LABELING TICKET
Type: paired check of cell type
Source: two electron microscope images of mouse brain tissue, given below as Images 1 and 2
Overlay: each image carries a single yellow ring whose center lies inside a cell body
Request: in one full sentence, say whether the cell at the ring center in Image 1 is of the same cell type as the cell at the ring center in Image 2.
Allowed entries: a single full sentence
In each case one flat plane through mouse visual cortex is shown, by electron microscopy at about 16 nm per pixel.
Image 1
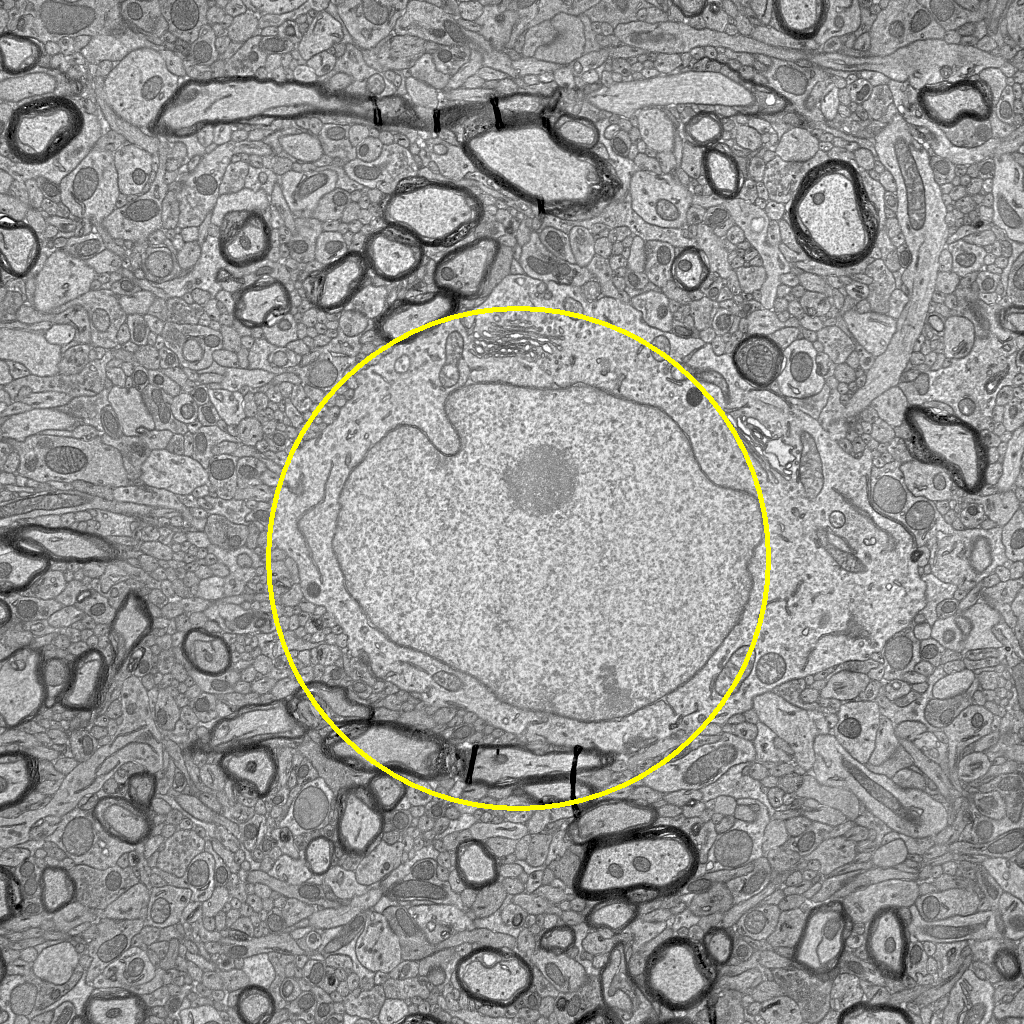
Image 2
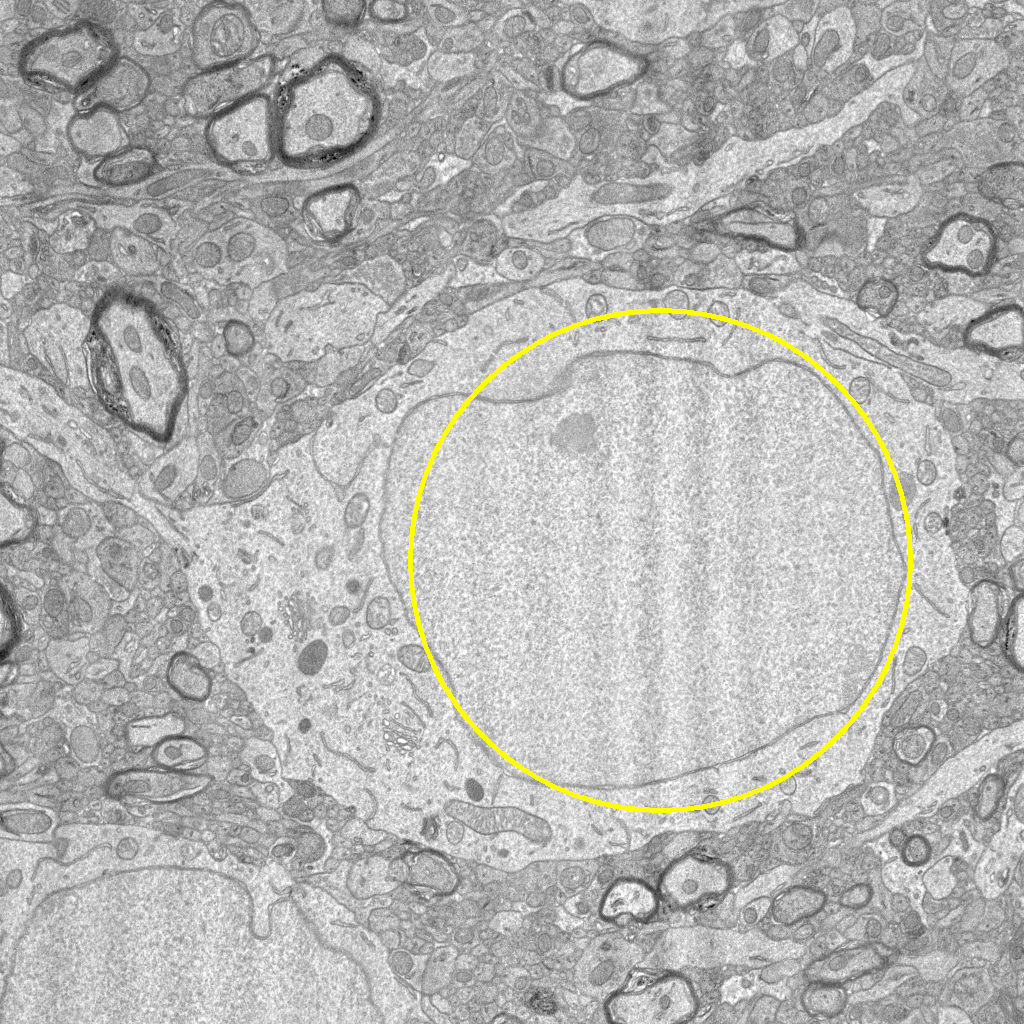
Yes, the cells at the ring centers of Image 1 and Image 2 share one type.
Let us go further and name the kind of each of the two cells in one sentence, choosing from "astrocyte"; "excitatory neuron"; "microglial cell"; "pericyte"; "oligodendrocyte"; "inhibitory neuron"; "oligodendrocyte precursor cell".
Each of the two cells is an excitatory neuron.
